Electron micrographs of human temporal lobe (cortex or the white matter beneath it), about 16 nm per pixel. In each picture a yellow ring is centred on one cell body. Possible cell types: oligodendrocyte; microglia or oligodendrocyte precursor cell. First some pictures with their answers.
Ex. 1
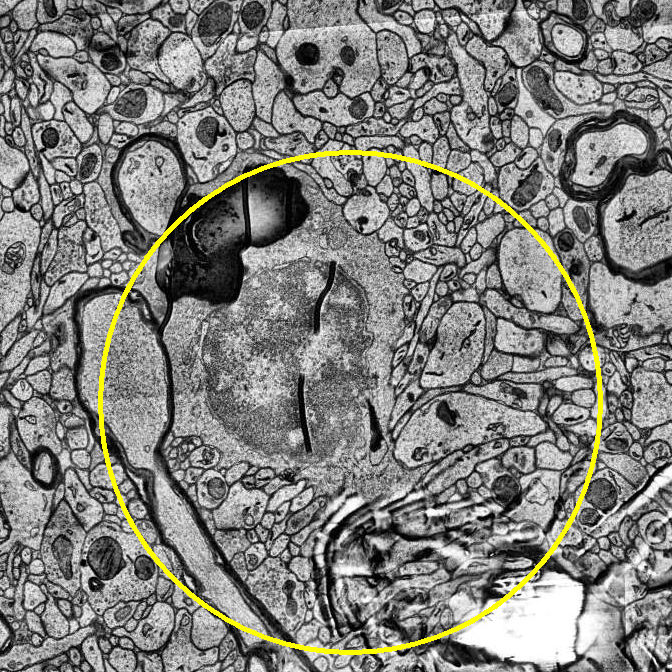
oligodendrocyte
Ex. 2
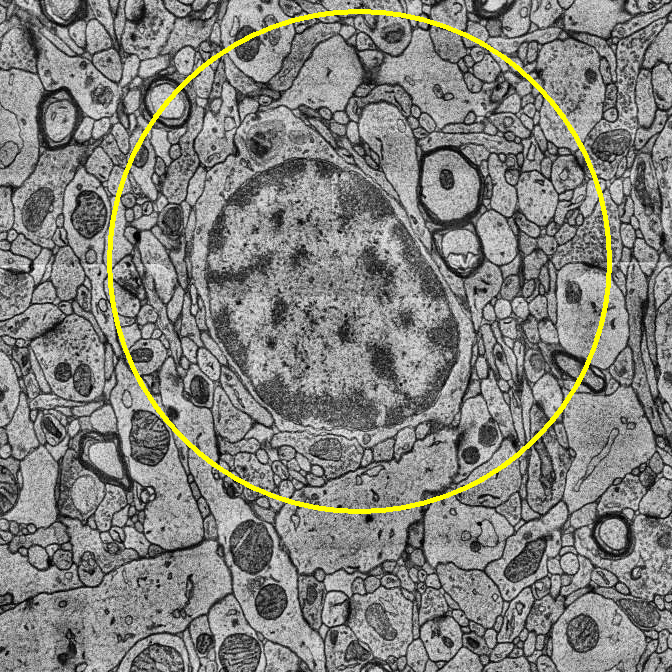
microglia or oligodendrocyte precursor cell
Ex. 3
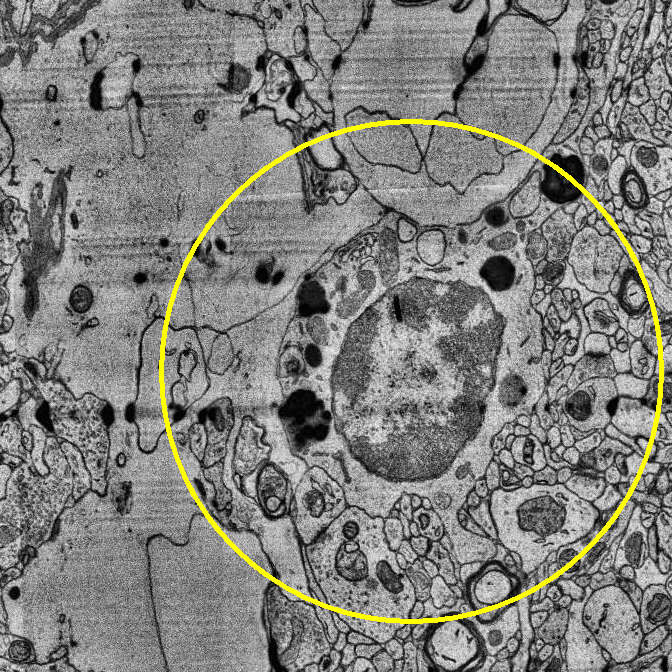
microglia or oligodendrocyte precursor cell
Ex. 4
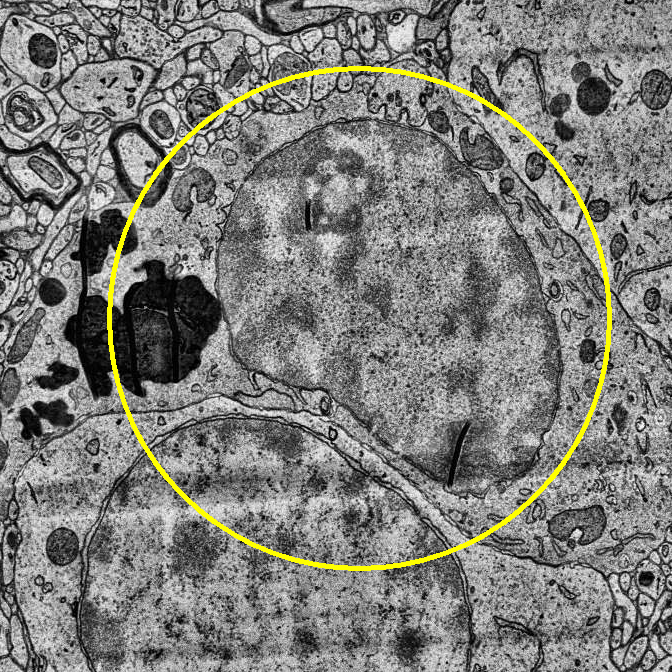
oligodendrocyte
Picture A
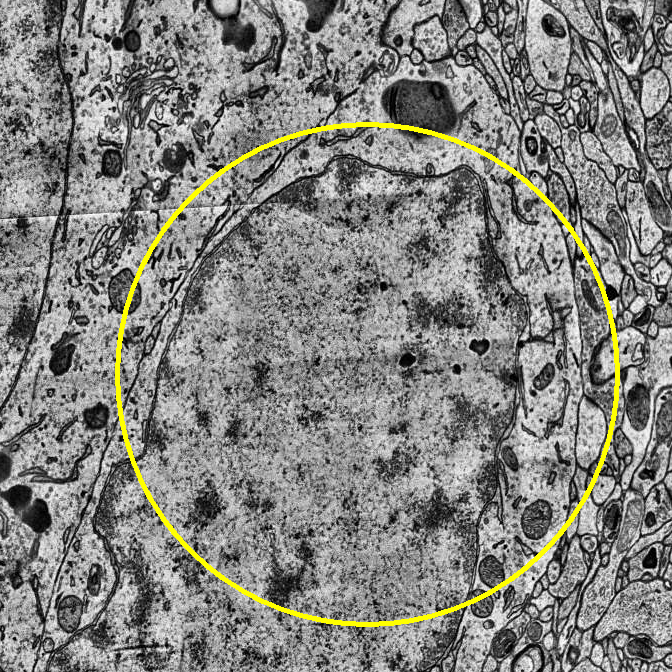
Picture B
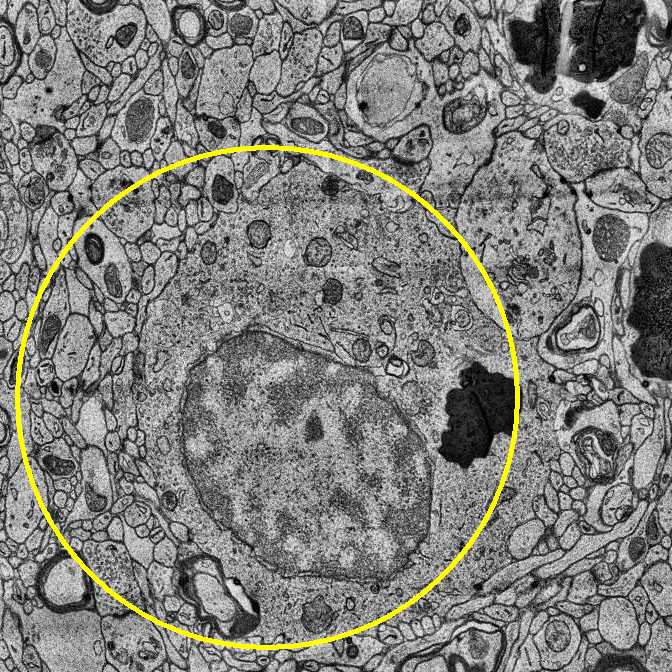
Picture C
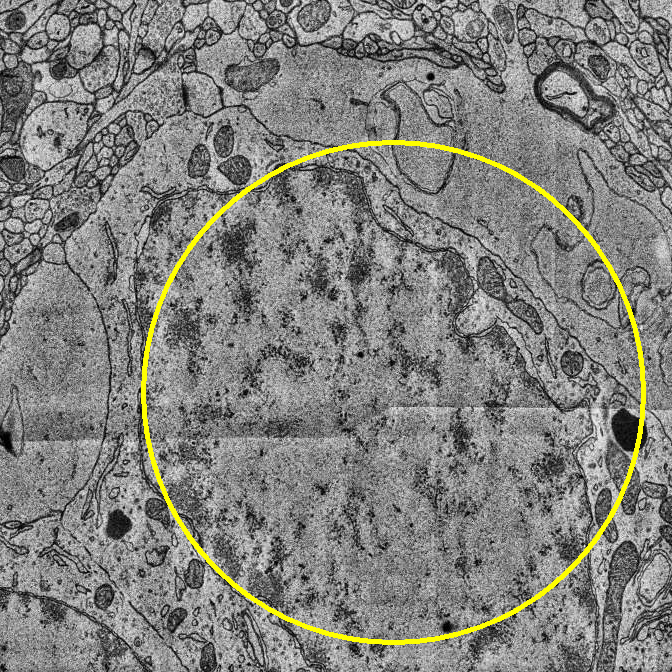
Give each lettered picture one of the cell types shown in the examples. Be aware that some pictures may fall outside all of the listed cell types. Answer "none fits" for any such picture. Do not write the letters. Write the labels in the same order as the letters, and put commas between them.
none fits, oligodendrocyte, none fits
